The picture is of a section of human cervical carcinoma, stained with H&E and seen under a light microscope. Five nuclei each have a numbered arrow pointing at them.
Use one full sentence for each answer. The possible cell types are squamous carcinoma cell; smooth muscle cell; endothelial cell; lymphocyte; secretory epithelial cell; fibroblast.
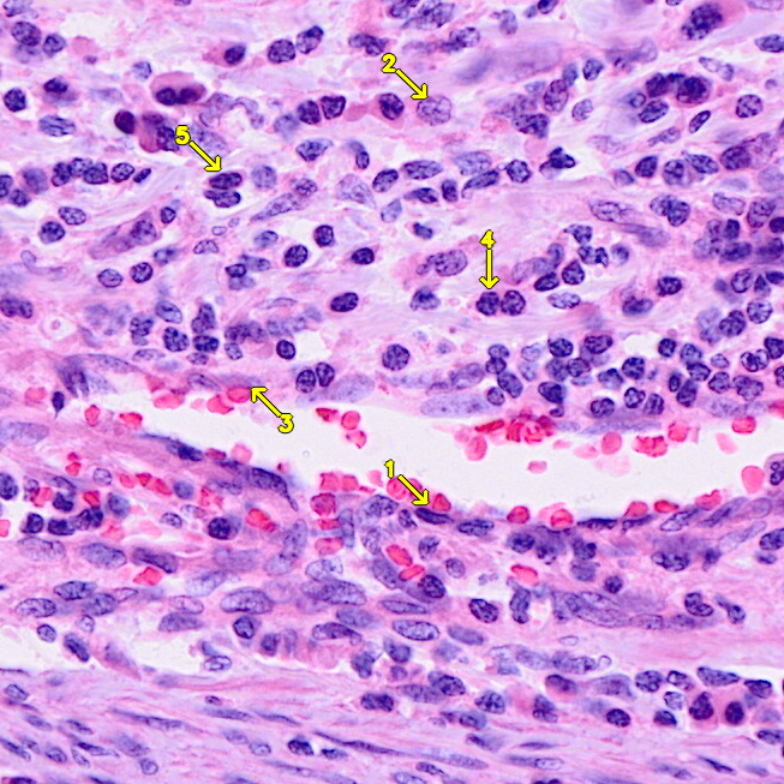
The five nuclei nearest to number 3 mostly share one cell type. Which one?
Around number 3, most of the five nearest nuclei are those of lymphocytes.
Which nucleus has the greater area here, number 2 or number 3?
At about 2 times the area of nucleus 3, nucleus 2 is the larger of the two.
